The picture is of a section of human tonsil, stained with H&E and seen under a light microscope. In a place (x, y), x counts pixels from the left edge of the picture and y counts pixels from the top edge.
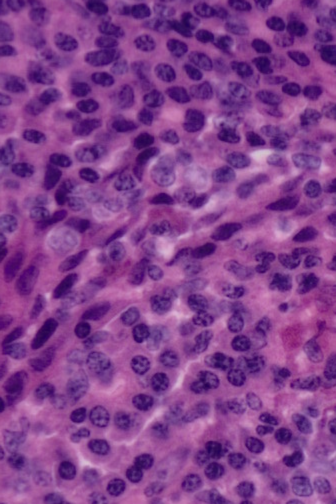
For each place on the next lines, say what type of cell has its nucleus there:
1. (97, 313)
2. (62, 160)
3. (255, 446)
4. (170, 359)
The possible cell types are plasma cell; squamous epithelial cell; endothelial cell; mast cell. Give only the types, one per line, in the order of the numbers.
squamous epithelial cell
plasma cell
plasma cell
plasma cell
